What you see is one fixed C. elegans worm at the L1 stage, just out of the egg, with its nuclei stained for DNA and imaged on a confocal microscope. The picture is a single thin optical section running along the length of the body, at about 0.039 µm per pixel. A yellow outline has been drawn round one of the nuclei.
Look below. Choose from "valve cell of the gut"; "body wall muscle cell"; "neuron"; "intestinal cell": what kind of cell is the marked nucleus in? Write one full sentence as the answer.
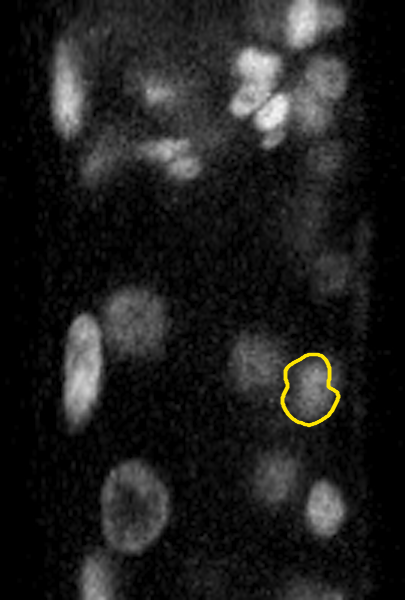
What is marked is the nucleus of a body wall muscle cell.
